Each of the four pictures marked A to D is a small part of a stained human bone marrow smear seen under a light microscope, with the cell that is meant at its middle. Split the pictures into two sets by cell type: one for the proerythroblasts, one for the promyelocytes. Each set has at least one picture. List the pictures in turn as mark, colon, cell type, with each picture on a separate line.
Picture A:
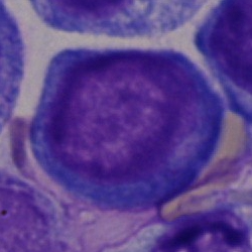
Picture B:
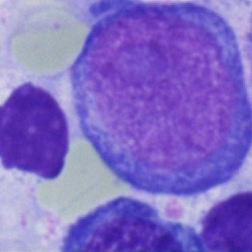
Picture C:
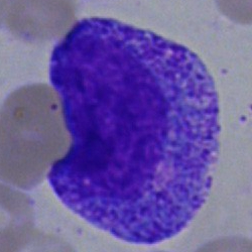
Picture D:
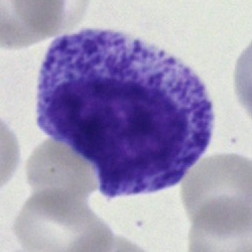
A: proerythroblast
B: proerythroblast
C: promyelocyte
D: promyelocyte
